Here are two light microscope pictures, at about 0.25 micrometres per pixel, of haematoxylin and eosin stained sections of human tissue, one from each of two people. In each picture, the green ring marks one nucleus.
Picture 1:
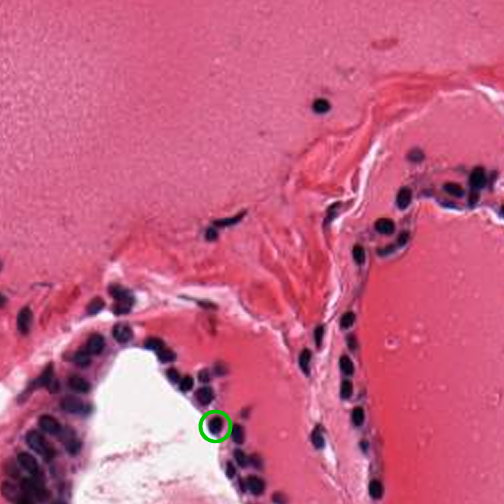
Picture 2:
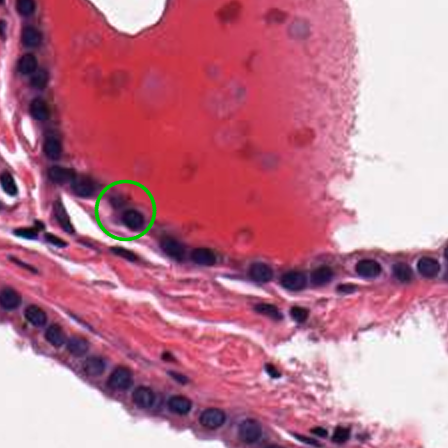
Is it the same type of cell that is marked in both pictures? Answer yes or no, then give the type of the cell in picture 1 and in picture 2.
Yes, both are thyroid follicular cells.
